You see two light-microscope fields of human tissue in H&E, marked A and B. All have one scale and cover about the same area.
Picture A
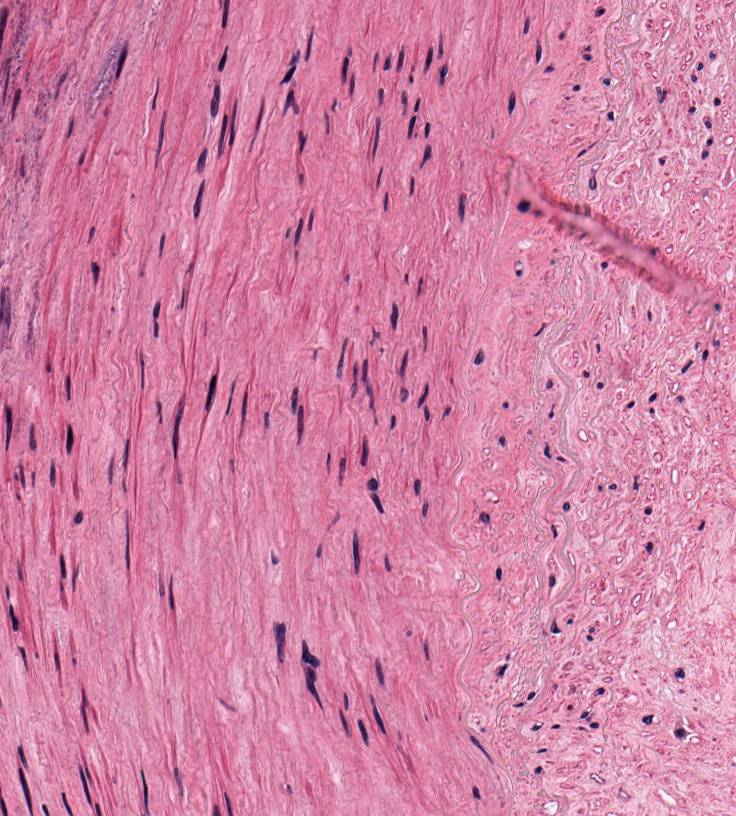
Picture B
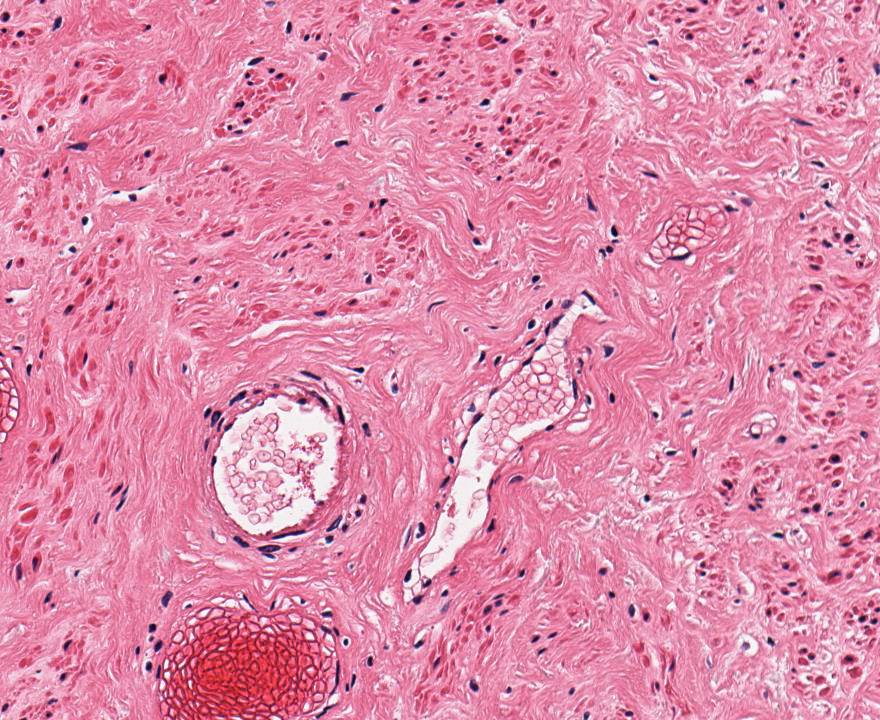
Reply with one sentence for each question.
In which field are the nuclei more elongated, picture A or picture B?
It is picture A whose nuclei are the more elongated.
